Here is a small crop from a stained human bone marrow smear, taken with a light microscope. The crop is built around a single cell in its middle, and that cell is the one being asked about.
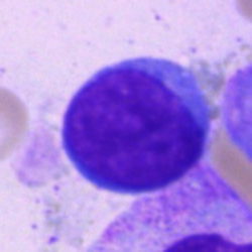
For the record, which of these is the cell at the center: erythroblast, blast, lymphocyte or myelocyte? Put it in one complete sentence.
In the center of this field lies a blast.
